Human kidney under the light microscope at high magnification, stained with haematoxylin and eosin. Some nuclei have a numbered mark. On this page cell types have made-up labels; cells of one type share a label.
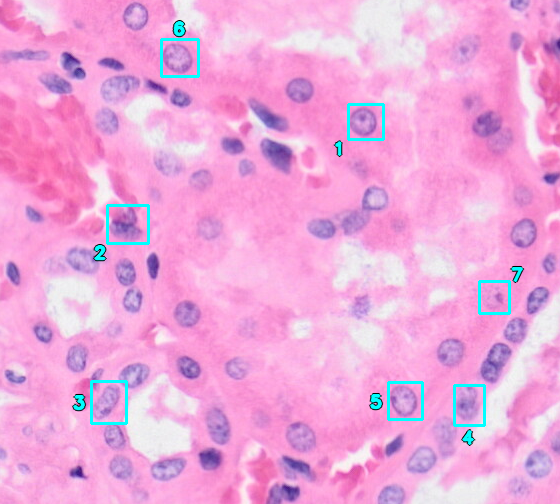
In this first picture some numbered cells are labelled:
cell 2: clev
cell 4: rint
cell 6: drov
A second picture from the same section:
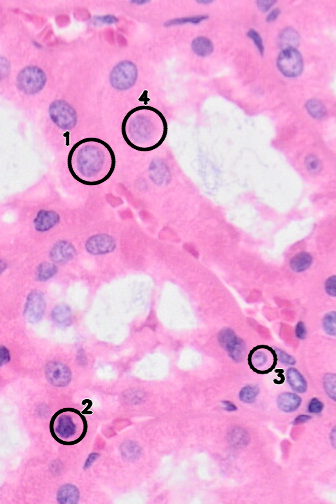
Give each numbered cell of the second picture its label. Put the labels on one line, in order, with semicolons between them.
drov; drov; rint; drov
